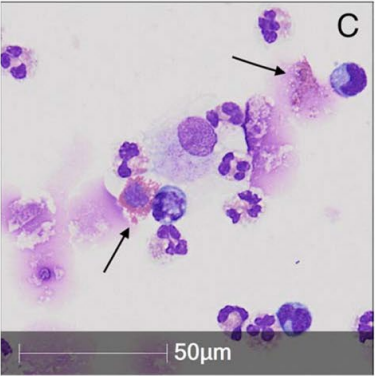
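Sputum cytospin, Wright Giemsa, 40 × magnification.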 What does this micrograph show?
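Some cells carry pink-orange granules in their cytoplasm, and in a few places patches of such granules lie loose beside the cells. The background is pale with faint lilac mucus-like material.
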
